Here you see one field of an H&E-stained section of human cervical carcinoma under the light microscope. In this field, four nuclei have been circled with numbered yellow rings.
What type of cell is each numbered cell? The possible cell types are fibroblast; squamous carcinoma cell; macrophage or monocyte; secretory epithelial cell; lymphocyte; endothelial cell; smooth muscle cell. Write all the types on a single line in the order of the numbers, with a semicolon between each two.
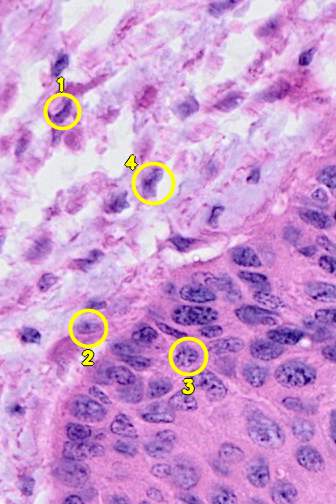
fibroblast; fibroblast; squamous carcinoma cell; fibroblast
